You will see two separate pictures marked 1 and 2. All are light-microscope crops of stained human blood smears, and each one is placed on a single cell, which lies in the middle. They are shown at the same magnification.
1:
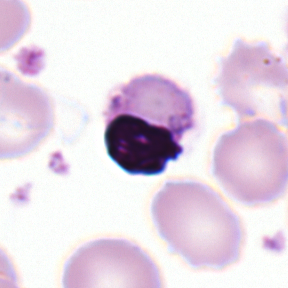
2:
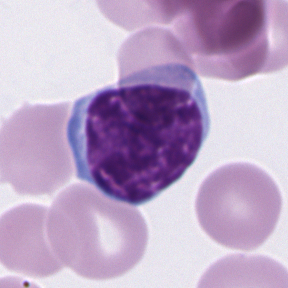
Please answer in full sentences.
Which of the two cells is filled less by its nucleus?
Of the two, the nucleus in crop 1 leaves more room for cytoplasm.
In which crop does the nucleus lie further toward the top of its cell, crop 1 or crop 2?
It is the nucleus in crop 2 that lies further toward the top of its cell.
